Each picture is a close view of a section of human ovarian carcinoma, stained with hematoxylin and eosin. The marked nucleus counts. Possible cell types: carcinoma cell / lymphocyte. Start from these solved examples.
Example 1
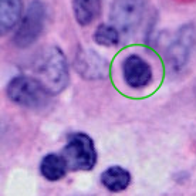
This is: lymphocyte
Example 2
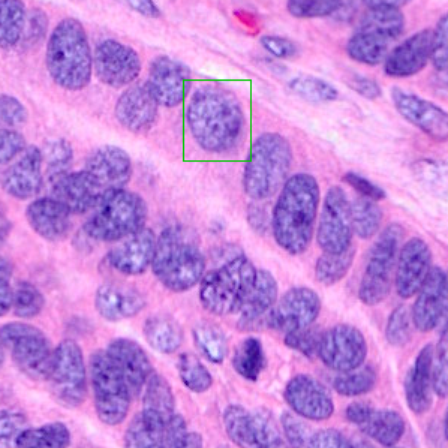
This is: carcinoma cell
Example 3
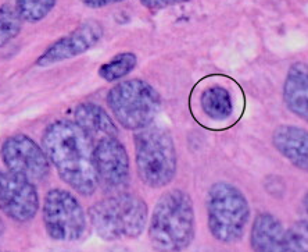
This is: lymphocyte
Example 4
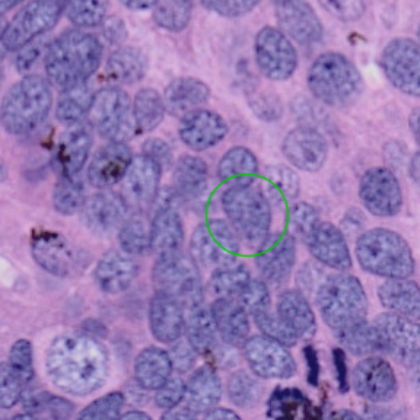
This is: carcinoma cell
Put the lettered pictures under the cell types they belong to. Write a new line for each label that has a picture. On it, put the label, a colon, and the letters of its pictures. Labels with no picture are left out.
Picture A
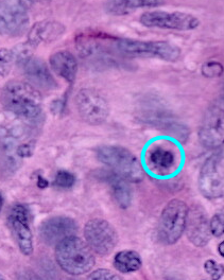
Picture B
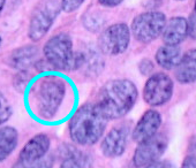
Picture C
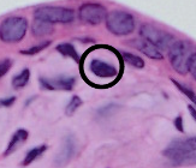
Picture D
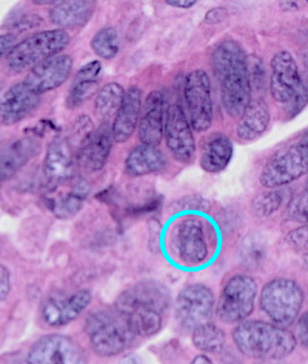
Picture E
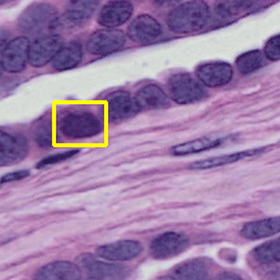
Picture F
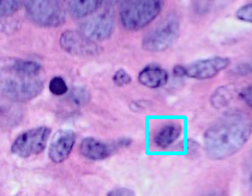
carcinoma cell: B, D, E
lymphocyte: A, C, F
